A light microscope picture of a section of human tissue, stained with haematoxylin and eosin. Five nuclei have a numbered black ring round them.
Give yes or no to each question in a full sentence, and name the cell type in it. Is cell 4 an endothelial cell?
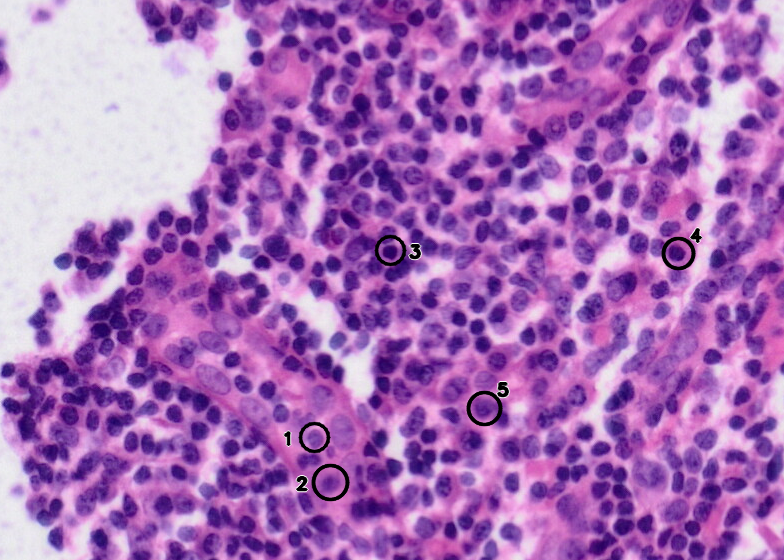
No, the cell labelled number 4 is not an endothelial cell; it is a plasma cell.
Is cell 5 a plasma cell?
Yes, looking at number 5, that cell is a plasma cell.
